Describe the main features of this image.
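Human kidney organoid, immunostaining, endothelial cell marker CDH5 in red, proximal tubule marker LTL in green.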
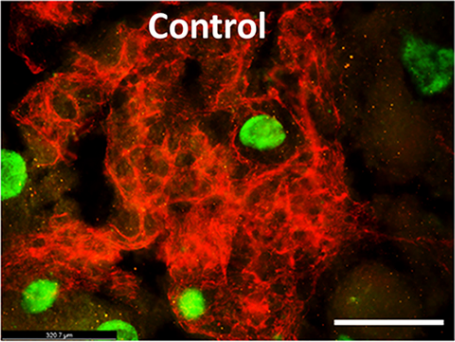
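The red strands run in many directions, crossing and joining, in places bundled into thicker cords and elsewhere outlining dark gaps. The green structures are small, bright, rounded to oval bodies, lying singly and separated from one another by the red meshwork. Darker unlabelled areas appear between parts of the network. Cell-level detail such as individual nuclei is not resolved; the picture shows the tissue's arrangement.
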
